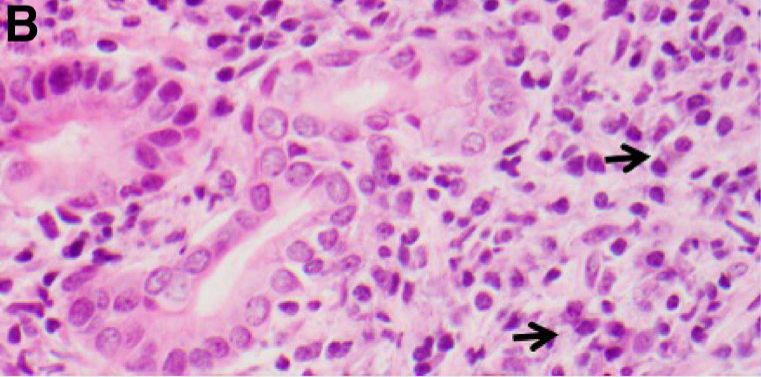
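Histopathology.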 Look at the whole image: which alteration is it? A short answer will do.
Chronic inflammatory infiltrate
